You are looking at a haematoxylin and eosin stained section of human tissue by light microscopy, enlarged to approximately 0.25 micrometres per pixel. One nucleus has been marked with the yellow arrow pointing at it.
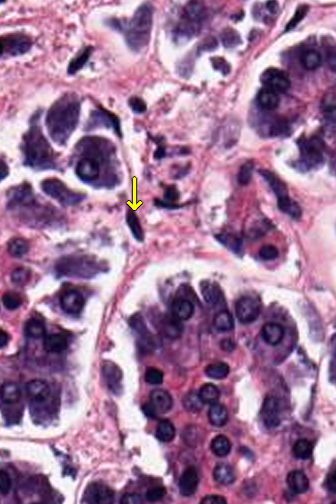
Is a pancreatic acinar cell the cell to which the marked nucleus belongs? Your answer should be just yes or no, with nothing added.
no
